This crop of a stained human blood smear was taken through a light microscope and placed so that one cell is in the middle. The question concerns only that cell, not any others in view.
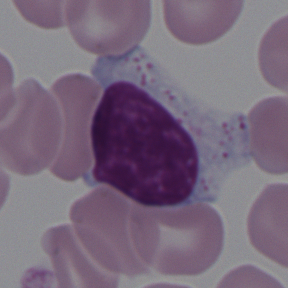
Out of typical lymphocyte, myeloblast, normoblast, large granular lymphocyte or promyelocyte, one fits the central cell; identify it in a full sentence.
Classification of the middle cell gives a large granular lymphocyte.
